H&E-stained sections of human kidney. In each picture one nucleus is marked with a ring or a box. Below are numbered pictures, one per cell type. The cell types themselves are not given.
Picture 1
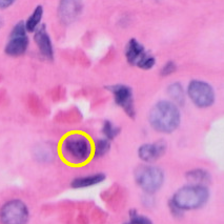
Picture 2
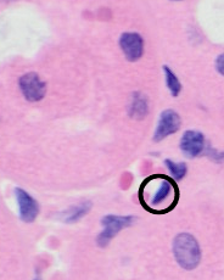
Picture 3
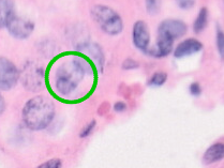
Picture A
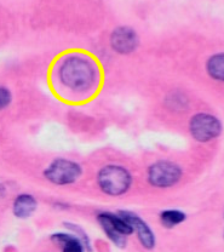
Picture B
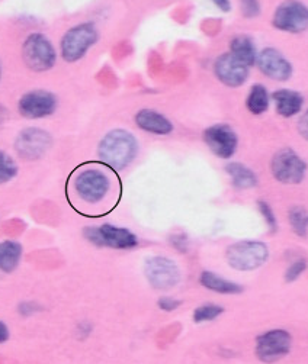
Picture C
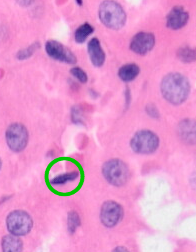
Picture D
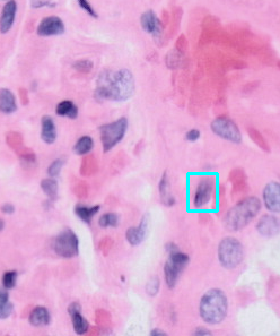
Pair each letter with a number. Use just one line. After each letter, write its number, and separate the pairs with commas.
A 1, B 3, C 2, D 2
